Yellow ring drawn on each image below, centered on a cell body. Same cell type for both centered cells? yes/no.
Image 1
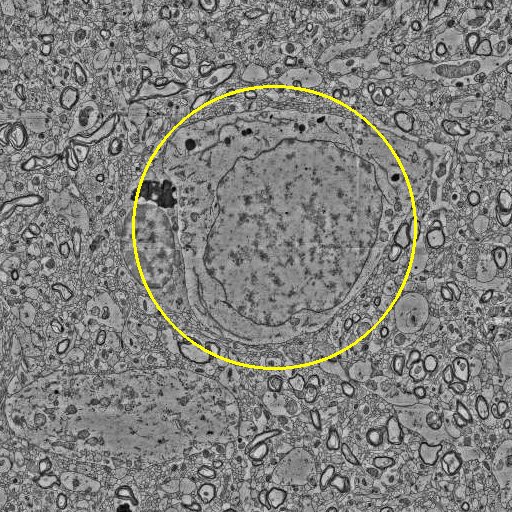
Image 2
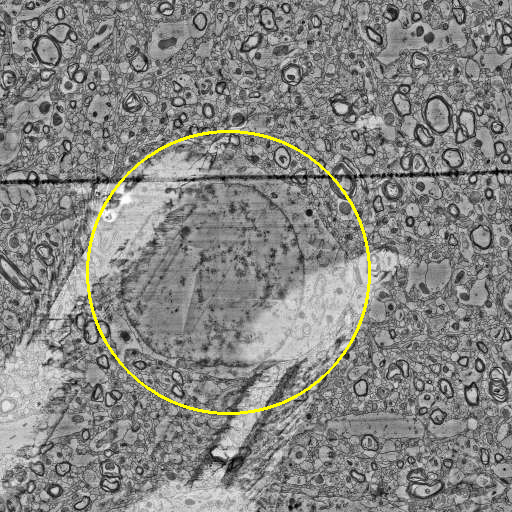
yes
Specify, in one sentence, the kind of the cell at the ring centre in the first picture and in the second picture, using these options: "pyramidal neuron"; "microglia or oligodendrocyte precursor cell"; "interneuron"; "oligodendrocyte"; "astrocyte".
The cell at the ring centre is a pyramidal neuron in both pictures.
